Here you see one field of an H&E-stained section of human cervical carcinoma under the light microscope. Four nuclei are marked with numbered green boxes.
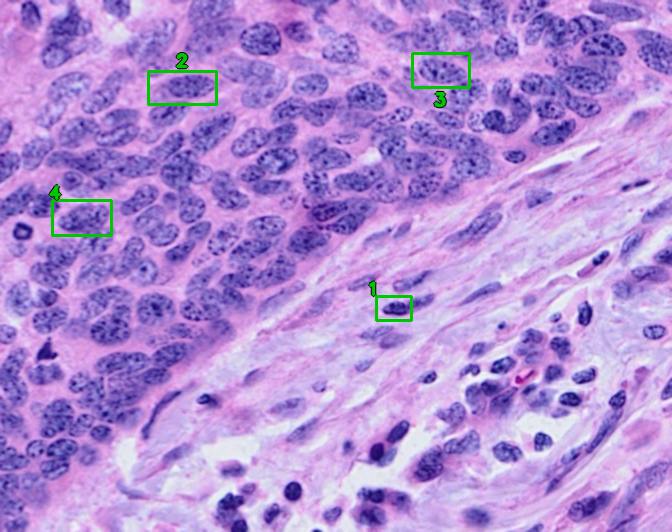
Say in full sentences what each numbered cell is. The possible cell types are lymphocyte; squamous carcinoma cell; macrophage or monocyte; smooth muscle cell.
Cell 1 is a lymphocyte. Cells 2, 3 and 4 are squamous carcinoma cells.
